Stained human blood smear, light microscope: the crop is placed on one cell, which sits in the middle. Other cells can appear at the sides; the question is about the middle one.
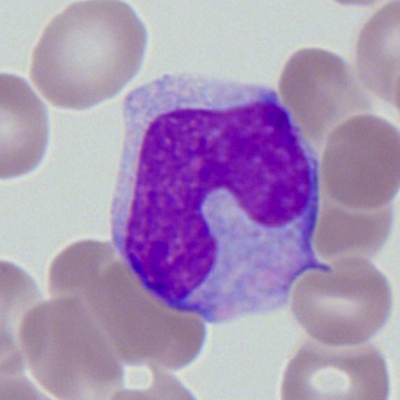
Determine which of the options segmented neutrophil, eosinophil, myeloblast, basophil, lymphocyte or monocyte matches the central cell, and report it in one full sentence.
The cell in the exact centre of the crop is a monocyte.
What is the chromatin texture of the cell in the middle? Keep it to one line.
The chromatin is fine; coarse clumps are not a feature here.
